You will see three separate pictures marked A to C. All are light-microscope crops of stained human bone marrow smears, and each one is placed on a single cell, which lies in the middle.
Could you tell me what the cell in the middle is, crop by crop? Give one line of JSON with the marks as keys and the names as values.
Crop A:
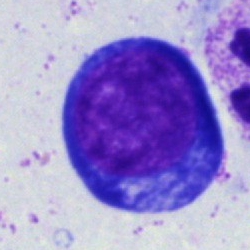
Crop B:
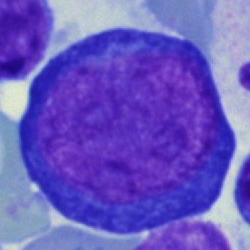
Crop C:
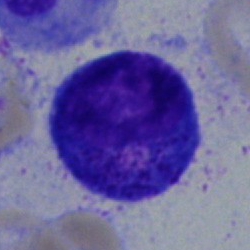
{"A": "proerythroblast", "B": "proerythroblast", "C": "promyelocyte"}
